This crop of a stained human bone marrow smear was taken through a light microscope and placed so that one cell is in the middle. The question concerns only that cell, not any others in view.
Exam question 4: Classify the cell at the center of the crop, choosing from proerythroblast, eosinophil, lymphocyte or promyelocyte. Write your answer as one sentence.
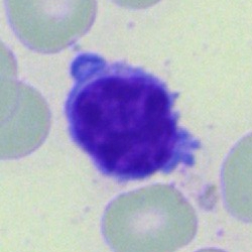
The cell the crop is centered on is a lymphocyte.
